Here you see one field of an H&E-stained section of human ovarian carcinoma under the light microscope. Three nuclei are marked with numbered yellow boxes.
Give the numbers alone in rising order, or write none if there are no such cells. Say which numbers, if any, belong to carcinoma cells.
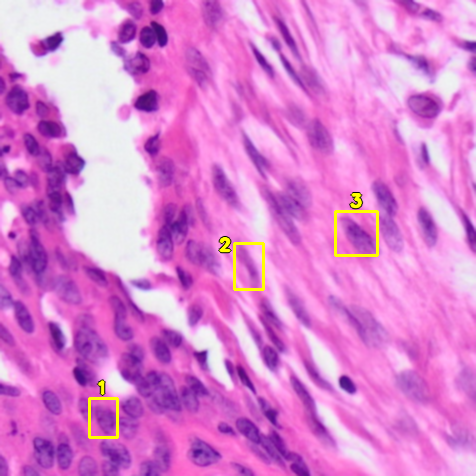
1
